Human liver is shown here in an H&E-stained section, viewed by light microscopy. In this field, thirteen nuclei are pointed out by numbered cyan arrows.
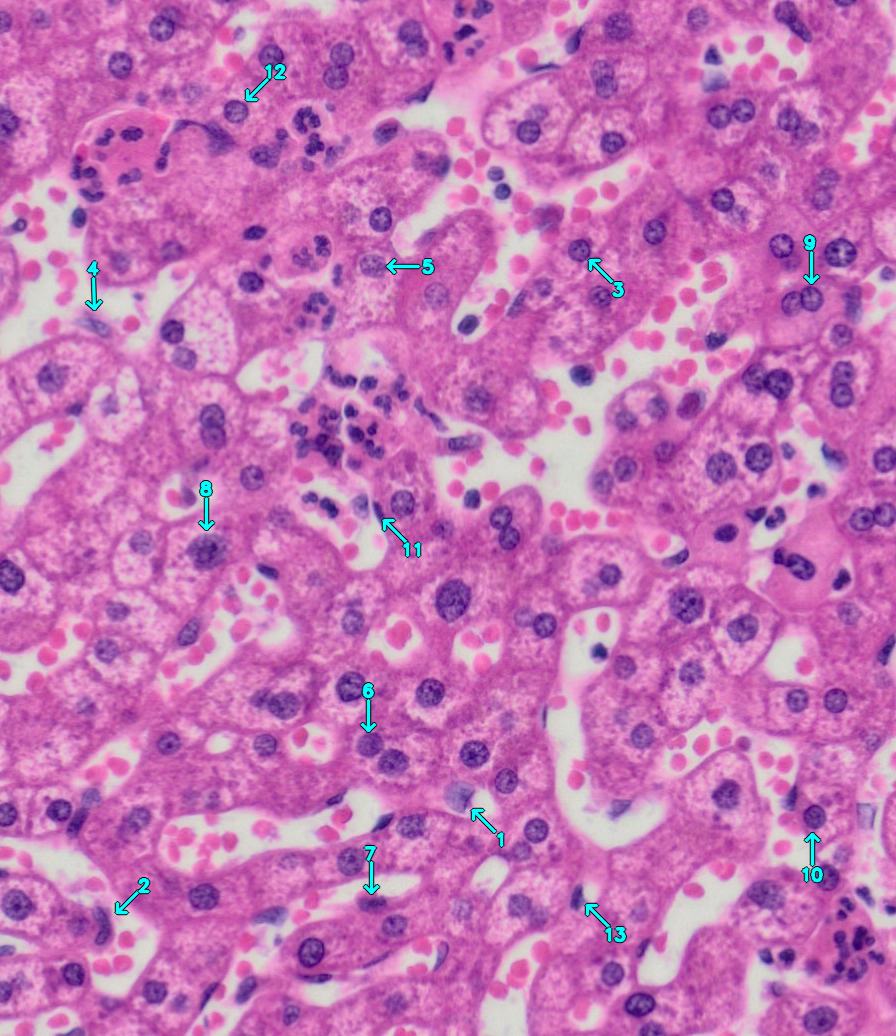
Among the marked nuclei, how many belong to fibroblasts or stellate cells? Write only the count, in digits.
1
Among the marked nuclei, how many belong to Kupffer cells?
3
